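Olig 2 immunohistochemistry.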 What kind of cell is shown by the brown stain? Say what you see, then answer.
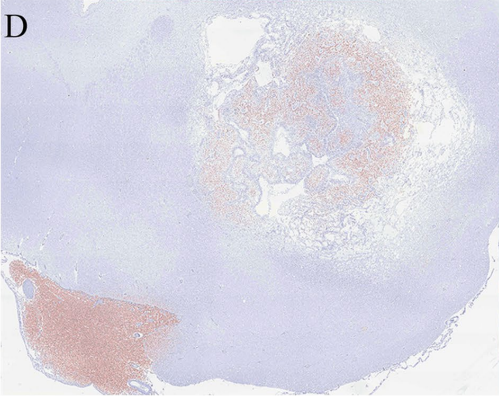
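Neoplastic cells. Brown staining fills the central mass and the mass at the lower left. The surrounding tissue stays pale blue.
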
